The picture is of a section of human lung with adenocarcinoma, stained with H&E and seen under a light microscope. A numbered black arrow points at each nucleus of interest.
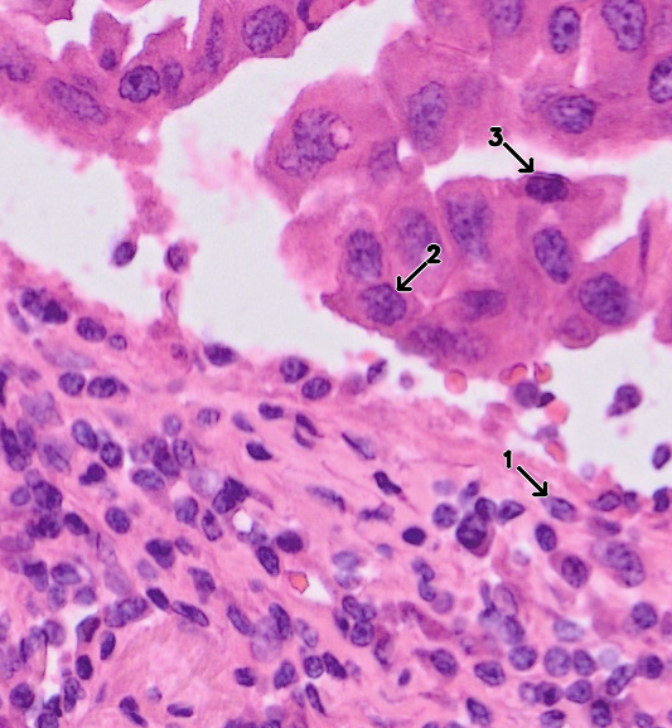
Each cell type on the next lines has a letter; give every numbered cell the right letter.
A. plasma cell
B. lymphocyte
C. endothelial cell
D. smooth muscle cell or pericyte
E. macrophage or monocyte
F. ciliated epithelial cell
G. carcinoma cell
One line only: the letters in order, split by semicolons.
B; G; G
